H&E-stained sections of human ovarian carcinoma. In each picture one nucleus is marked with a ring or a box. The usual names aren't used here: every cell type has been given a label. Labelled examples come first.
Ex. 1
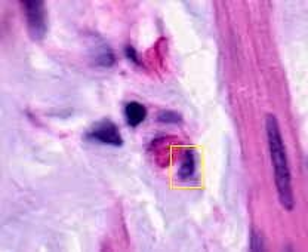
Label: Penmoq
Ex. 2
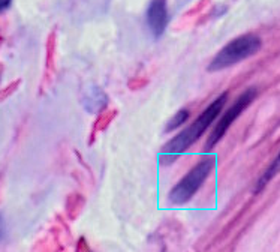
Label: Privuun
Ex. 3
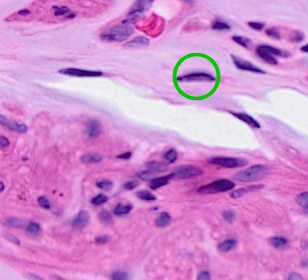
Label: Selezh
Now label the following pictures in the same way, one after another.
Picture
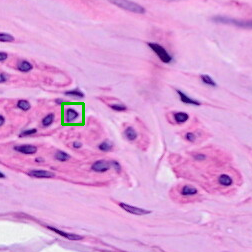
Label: Privuun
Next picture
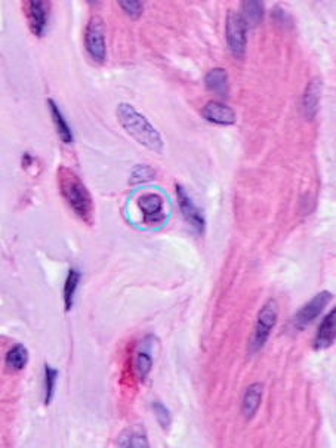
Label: Penmoq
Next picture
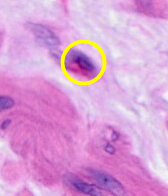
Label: Penmoq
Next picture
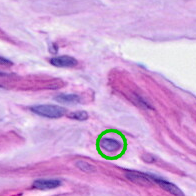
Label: Penmoq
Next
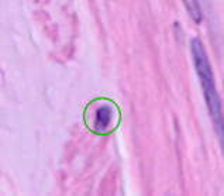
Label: Privuun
